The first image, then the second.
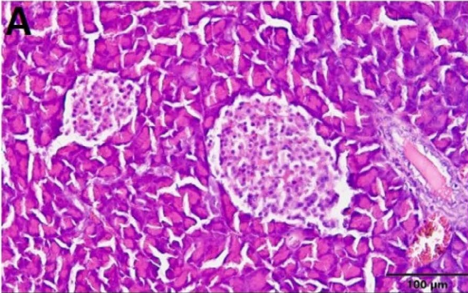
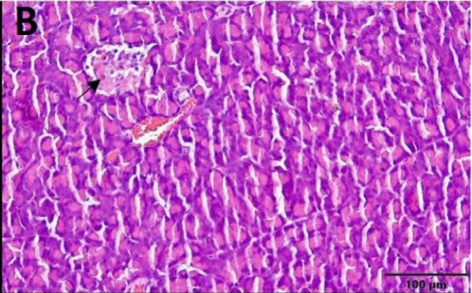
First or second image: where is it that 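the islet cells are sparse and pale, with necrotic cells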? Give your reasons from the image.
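The second image. Second image: a single small pale islet at the arrow, its cells loosely spaced and faint. First image: two large, well-filled pale islets with evenly packed cells and distinct nuclei.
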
